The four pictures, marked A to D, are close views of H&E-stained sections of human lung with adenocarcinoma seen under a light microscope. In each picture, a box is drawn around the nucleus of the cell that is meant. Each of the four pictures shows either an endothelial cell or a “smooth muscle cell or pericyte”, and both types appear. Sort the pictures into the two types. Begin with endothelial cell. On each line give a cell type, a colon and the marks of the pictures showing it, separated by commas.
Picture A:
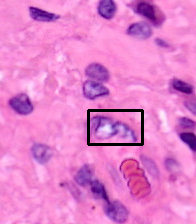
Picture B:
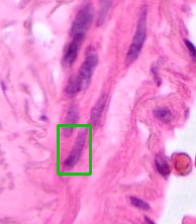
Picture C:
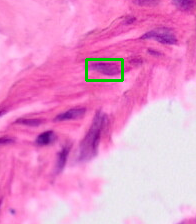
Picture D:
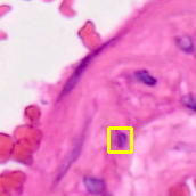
endothelial cell: A
smooth muscle cell or pericyte: B, C, D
